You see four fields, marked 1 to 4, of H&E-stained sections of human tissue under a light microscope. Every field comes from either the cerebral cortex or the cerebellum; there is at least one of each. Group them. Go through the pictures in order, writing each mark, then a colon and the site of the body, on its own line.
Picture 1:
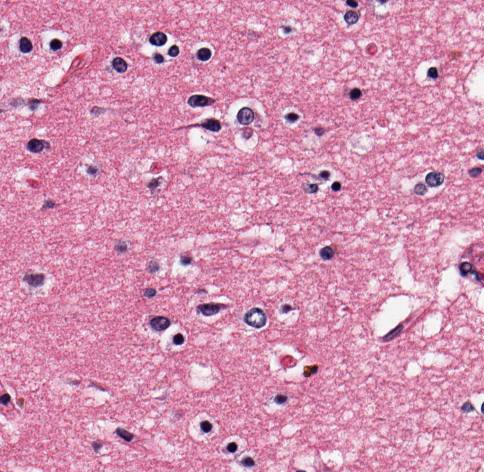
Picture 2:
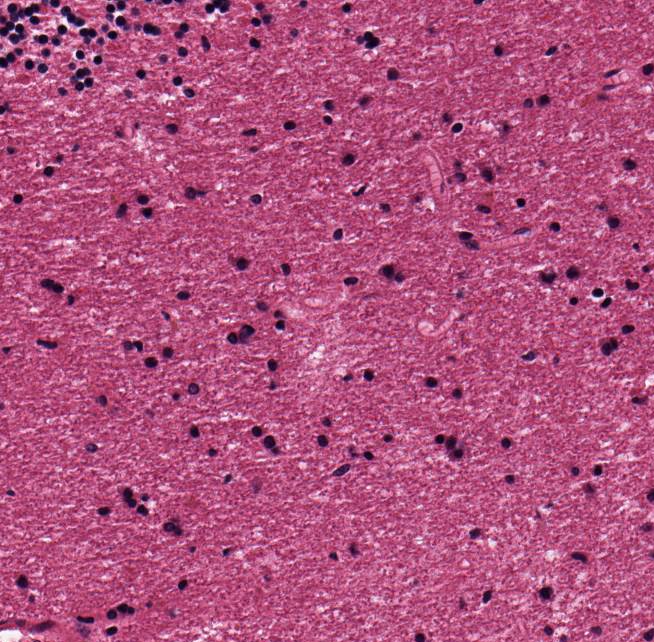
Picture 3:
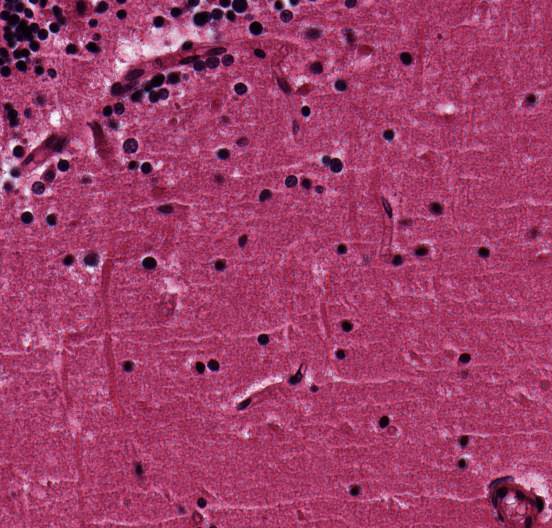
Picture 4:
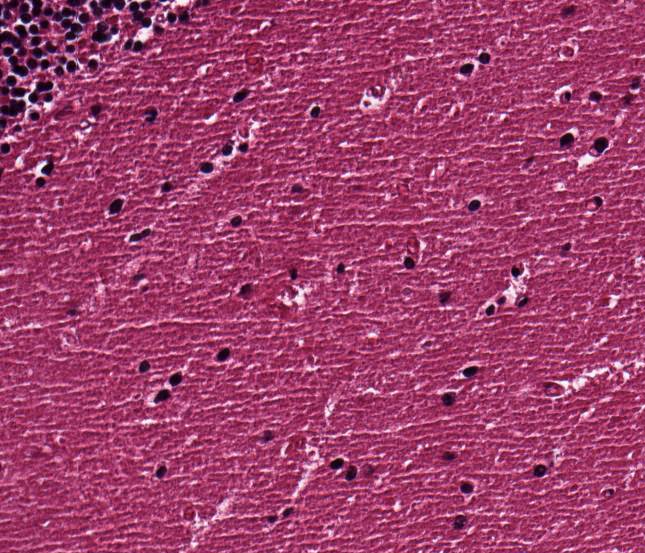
1: cerebral cortex
2: cerebellum
3: cerebellum
4: cerebellum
